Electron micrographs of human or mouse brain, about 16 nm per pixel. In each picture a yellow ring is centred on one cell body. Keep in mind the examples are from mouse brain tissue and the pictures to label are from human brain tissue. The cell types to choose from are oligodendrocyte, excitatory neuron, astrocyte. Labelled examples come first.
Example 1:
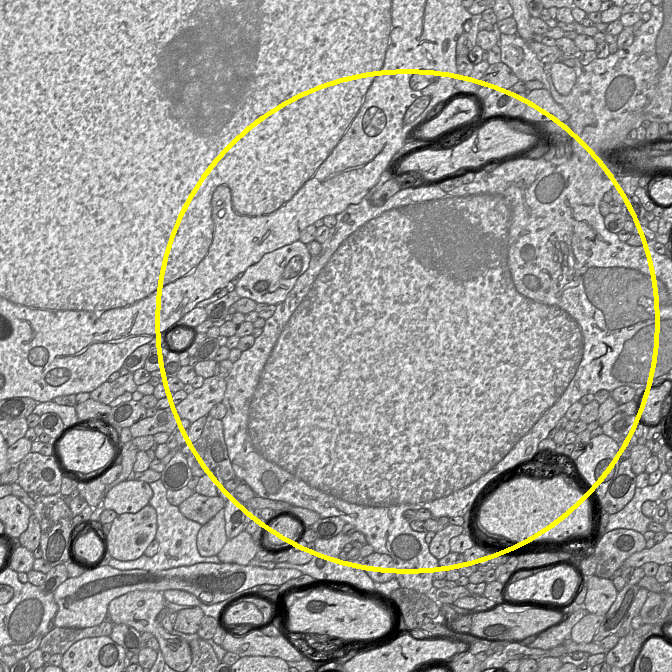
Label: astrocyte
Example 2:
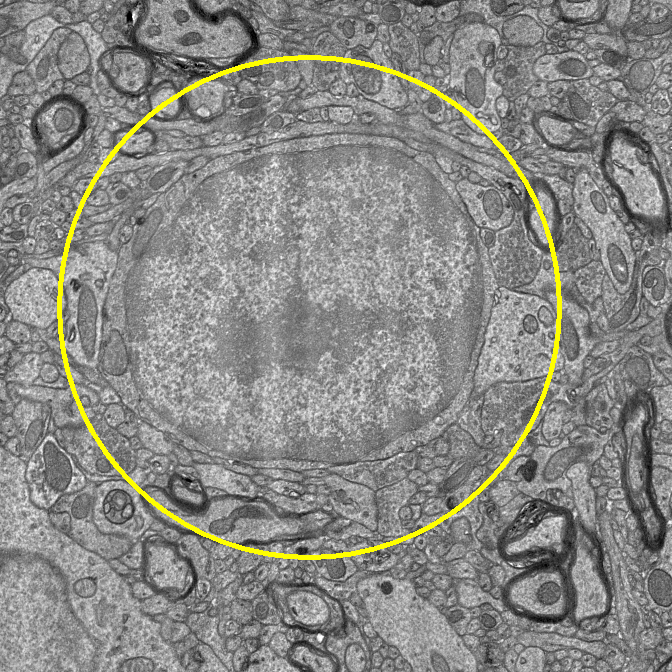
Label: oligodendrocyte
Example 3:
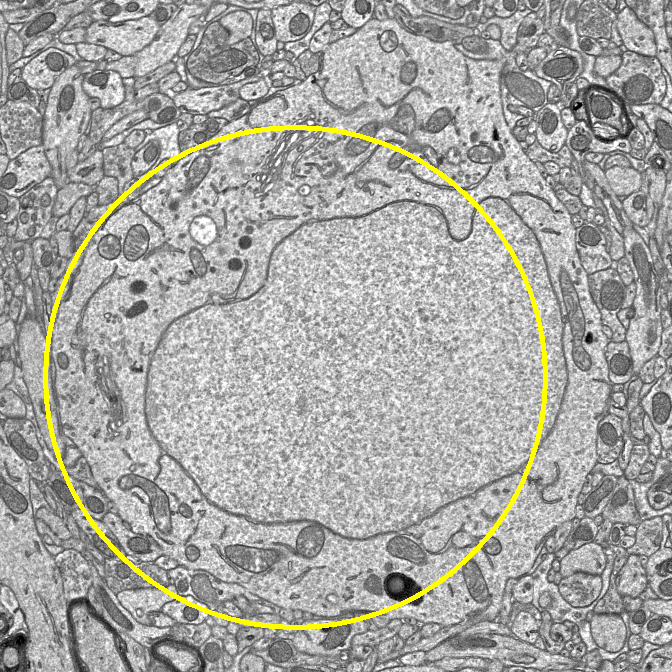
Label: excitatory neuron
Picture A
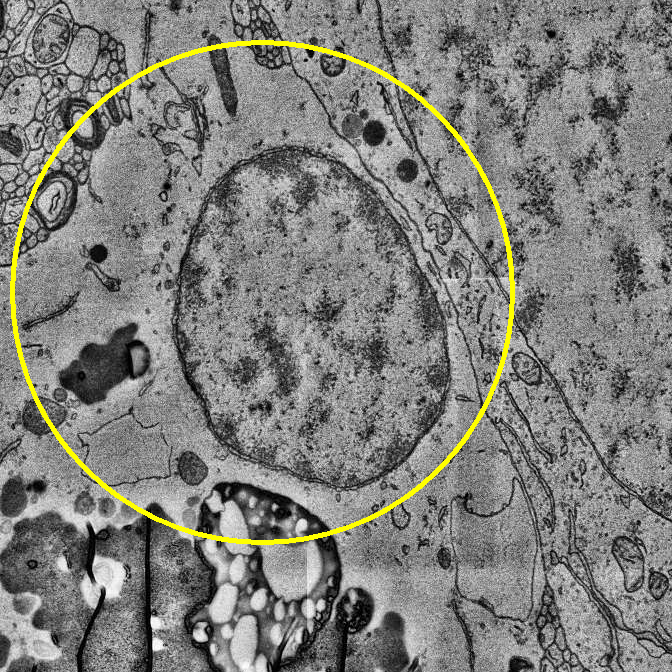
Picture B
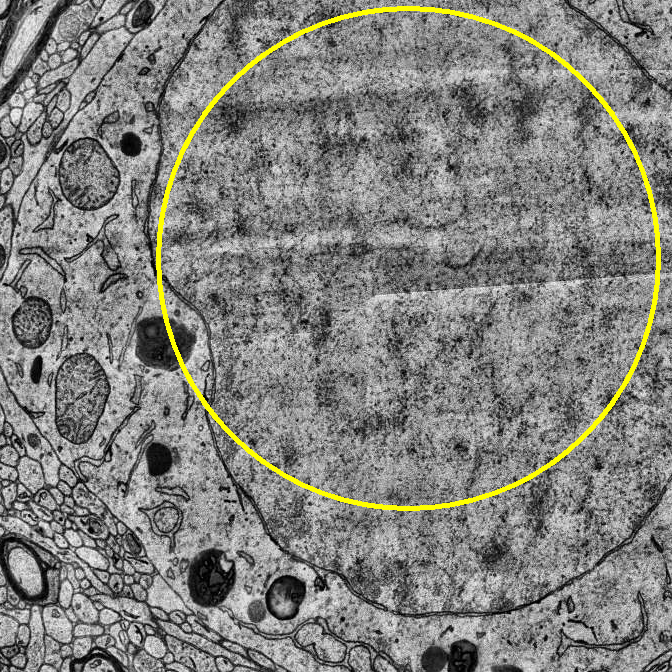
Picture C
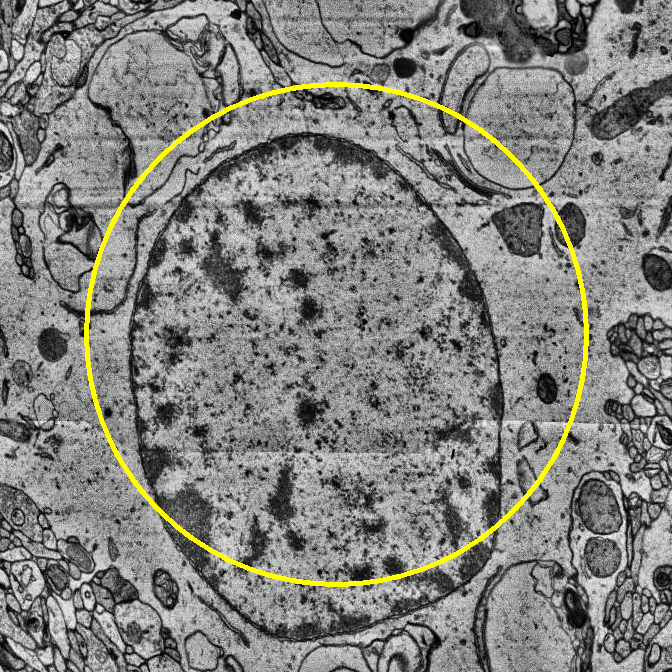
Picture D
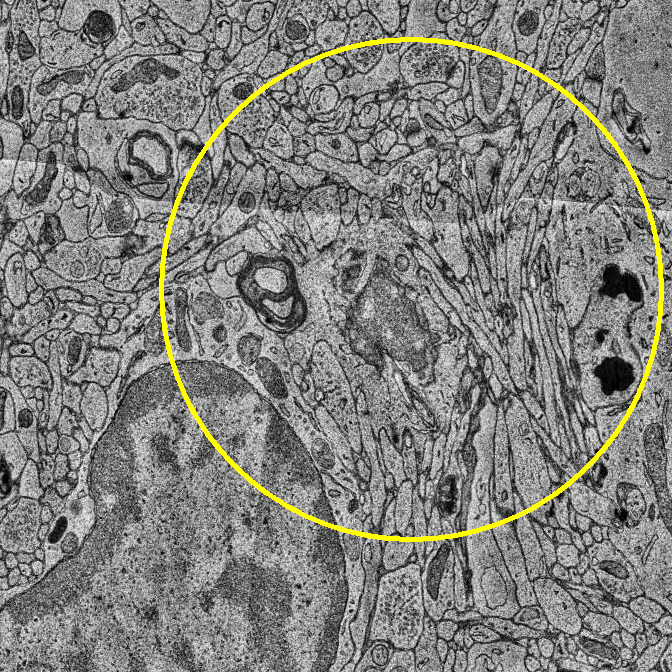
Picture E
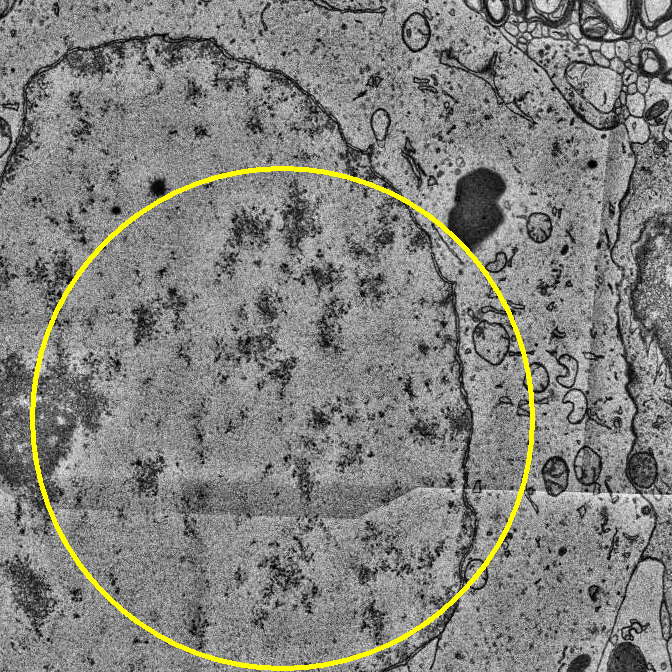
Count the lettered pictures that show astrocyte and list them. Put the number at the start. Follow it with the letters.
2, namely A, C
